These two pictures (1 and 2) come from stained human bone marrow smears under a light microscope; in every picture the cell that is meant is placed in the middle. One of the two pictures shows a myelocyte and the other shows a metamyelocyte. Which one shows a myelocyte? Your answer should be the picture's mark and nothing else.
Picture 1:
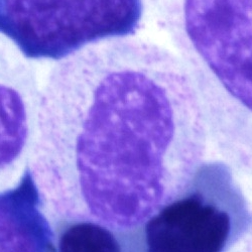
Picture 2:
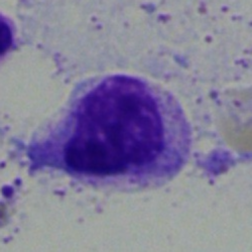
2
